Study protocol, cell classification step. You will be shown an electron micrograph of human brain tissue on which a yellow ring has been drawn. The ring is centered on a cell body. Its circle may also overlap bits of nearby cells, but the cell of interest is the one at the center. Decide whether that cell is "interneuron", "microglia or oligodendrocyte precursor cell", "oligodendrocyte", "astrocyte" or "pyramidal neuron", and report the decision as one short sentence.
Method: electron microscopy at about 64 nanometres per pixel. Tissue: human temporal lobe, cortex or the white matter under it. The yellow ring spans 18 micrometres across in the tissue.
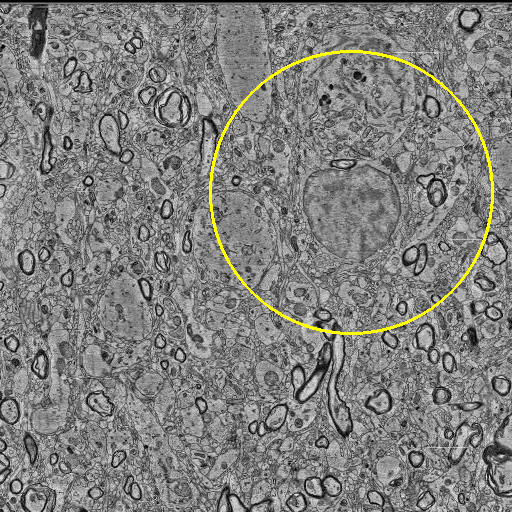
The marked cell is an oligodendrocyte.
